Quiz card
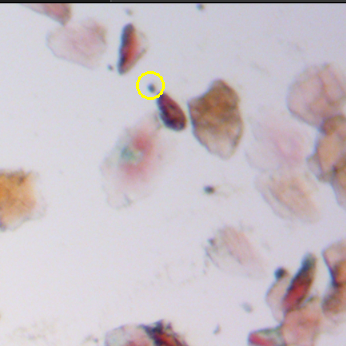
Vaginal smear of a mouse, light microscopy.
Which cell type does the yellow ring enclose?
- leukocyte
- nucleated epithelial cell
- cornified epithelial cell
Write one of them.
leukocyte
